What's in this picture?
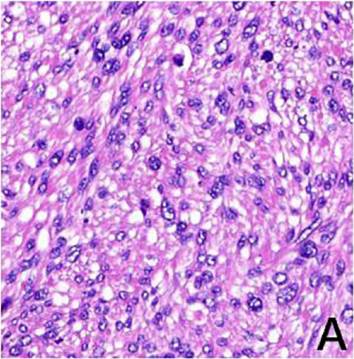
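Tumor tissue made of closely packed atypical cells with pink cytoplasm. Nuclei are markedly variable in size and shape, many enlarged and dark, some with visible nucleoli. Cytoplasm is abundant and pink, with scattered clear spaces between and within cells. Cells lie in a loosely fascicular, haphazard arrangement with no normal tissue structure.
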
